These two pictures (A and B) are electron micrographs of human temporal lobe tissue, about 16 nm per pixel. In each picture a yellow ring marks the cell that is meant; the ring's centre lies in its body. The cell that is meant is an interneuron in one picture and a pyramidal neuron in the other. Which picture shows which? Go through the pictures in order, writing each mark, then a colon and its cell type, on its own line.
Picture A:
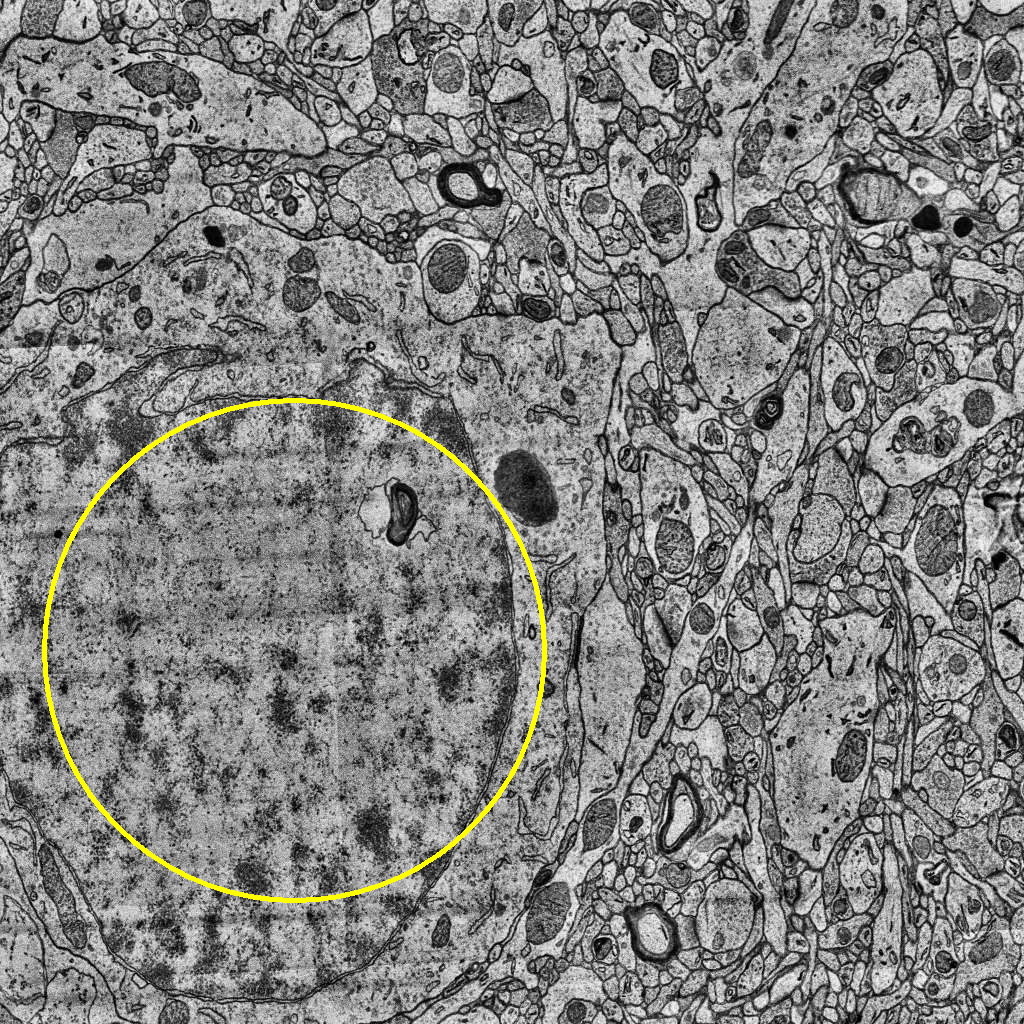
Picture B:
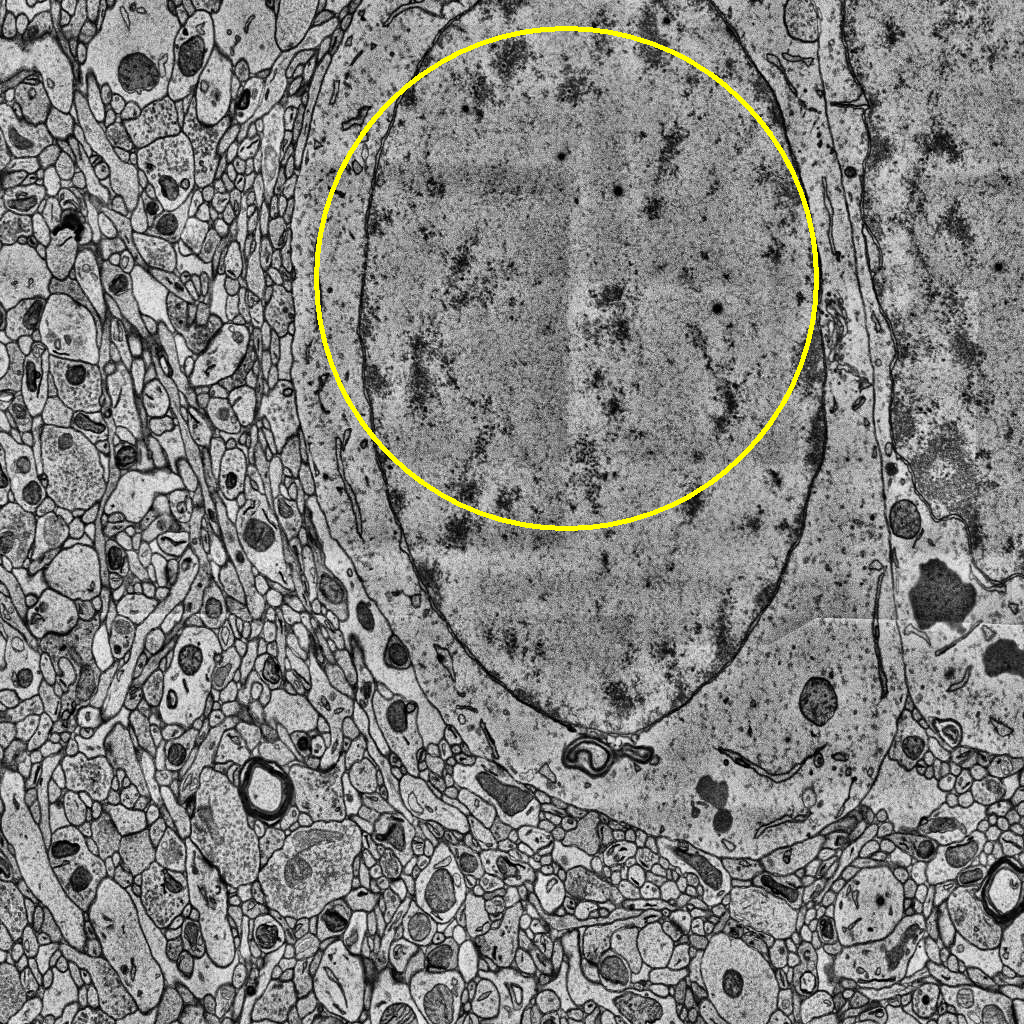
A: interneuron
B: pyramidal neuron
